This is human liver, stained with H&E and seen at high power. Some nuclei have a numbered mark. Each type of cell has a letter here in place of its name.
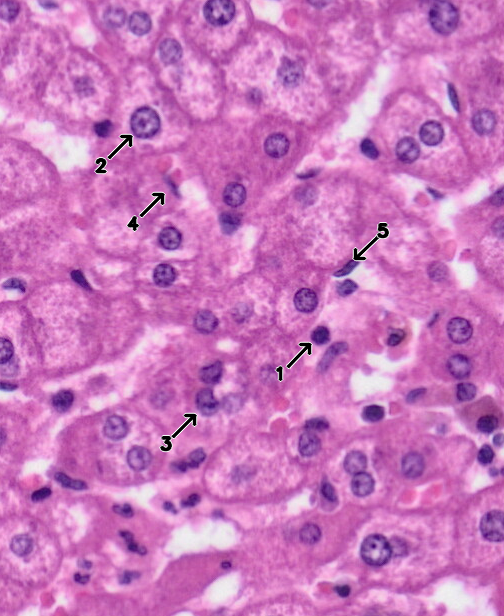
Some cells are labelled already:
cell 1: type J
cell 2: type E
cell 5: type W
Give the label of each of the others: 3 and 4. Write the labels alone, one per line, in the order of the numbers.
type E
type W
